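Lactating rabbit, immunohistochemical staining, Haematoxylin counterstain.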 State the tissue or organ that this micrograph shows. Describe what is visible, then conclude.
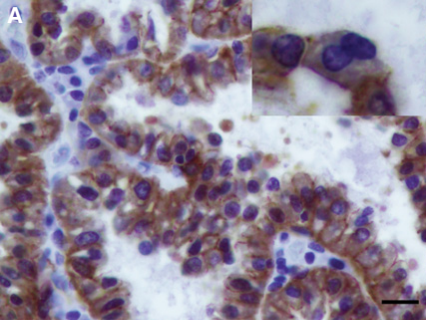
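Rounded glandular units lined by a single layer of cuboidal epithelial cells around open lumens. Thin stroma with small dark nuclei lies between the units. So: mammary alveoli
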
